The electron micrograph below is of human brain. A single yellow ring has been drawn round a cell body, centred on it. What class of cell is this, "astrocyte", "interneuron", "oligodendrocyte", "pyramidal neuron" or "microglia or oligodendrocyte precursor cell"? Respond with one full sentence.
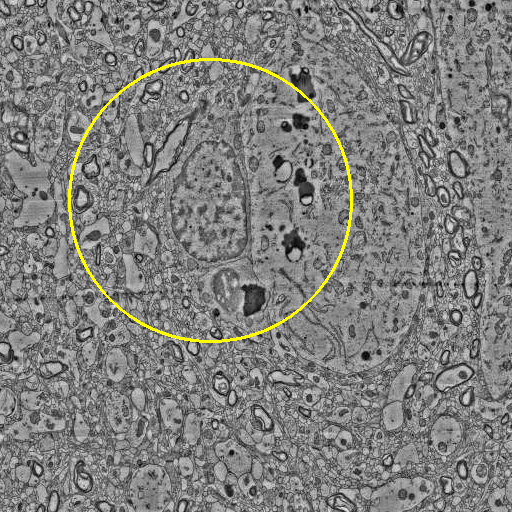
In the micrograph, the cell centred inside the yellow ring is an oligodendrocyte.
